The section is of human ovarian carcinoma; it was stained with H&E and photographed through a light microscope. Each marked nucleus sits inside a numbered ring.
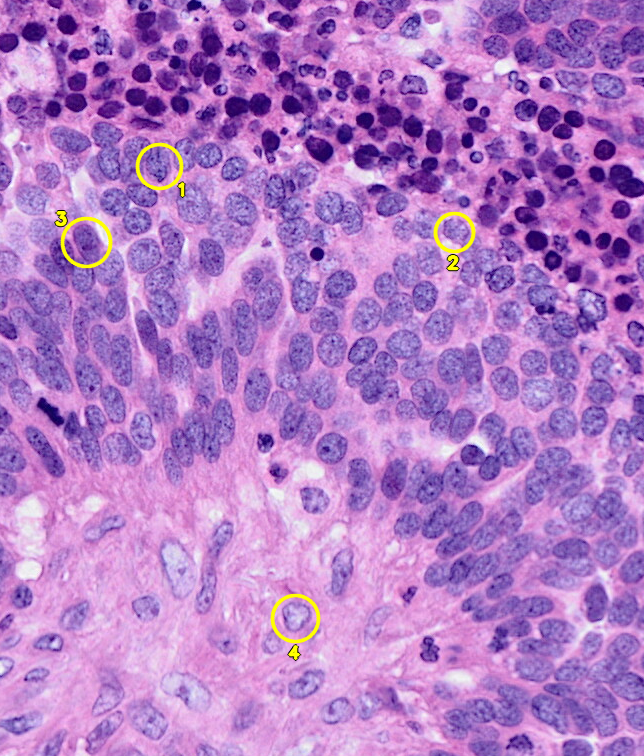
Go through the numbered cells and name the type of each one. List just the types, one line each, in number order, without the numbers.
carcinoma cell
carcinoma cell
carcinoma cell
fibroblast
